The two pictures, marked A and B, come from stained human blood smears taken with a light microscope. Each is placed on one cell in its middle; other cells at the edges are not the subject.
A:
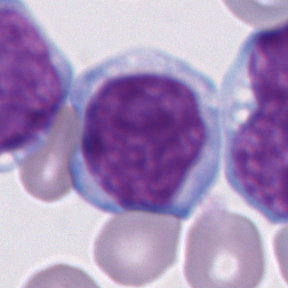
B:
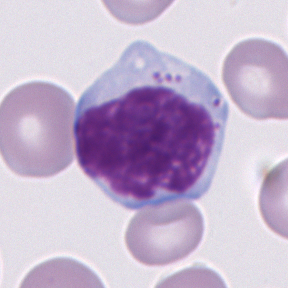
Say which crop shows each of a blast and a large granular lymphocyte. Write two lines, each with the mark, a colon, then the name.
A: blast
B: large granular lymphocyte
